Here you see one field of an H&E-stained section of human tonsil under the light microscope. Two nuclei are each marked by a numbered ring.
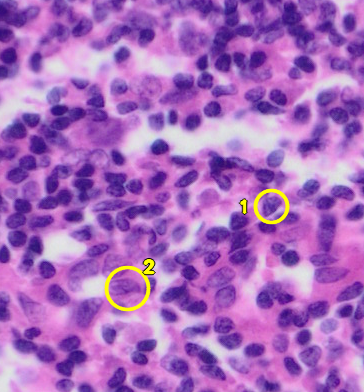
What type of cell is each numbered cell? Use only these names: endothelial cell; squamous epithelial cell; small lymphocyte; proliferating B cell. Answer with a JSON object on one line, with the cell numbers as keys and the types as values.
{"1": "small lymphocyte", "2": "endothelial cell"}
